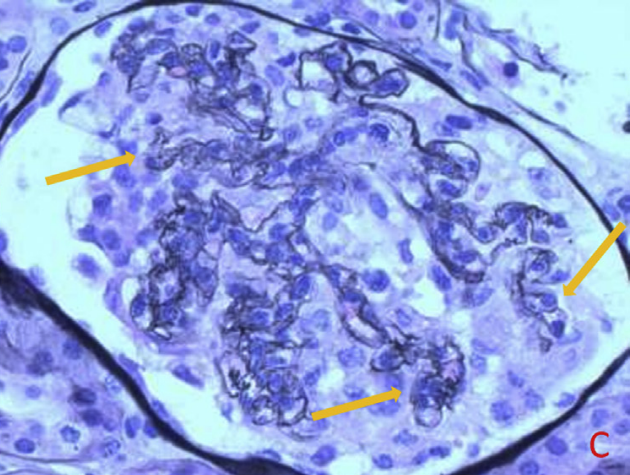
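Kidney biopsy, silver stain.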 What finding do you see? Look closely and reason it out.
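The black-outlined capillary loops are wrinkled and crumpled throughout the tuft. Few open capillary lumens are visible. Many pale cells crowd over the shrunken loops.
Hence: Global collapse of glomerular capillary loops.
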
